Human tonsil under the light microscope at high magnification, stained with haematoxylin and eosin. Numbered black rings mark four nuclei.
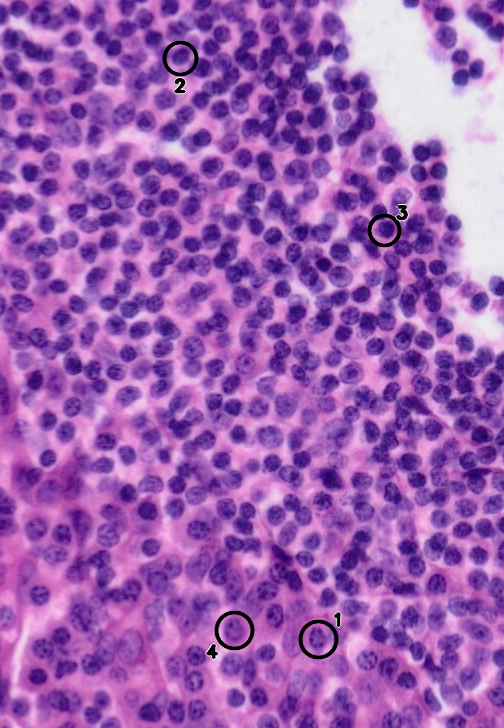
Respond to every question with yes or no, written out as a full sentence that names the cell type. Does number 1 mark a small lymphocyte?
No, cell 1 is not a small lymphocyte, but is instead a plasma cell.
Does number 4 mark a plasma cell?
Yes, cell 4 is a plasma cell in this tissue section.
